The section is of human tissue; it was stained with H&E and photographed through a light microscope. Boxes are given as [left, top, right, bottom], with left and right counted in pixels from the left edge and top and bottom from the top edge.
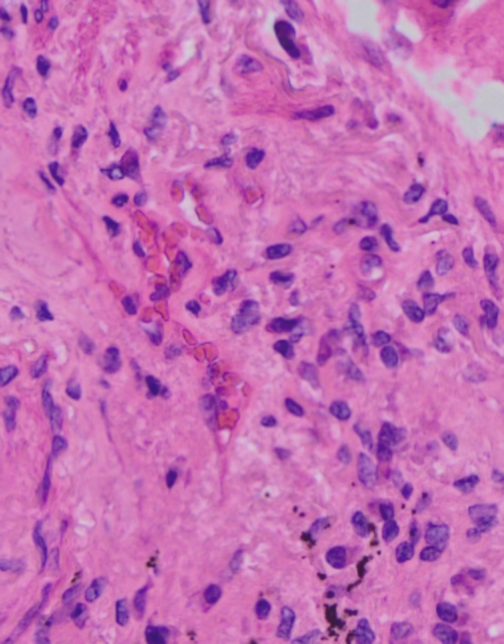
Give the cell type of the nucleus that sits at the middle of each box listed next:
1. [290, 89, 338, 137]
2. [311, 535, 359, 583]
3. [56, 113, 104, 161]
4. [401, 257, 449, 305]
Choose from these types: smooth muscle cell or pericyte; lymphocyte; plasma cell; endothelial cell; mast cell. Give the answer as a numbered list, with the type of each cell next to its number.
1. smooth muscle cell or pericyte
2. plasma cell
3. plasma cell
4. lymphocyte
